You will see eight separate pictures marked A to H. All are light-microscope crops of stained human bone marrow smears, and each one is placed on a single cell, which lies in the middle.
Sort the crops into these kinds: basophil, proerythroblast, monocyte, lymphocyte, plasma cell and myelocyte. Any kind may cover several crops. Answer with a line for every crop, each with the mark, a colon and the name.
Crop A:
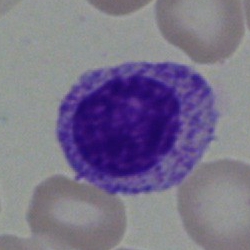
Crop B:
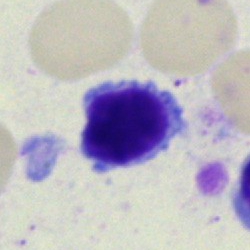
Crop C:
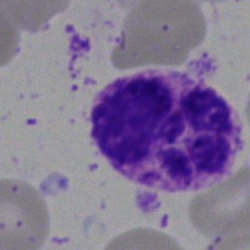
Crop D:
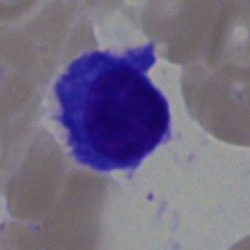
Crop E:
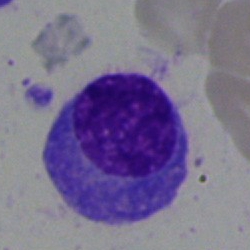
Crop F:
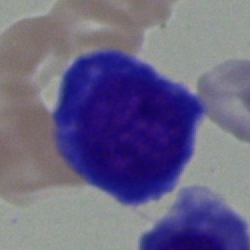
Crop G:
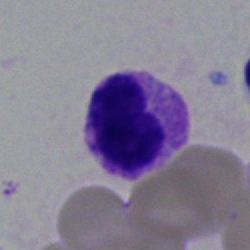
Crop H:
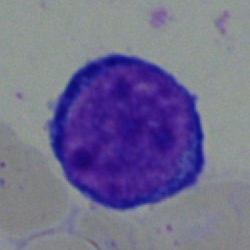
A: myelocyte
B: lymphocyte
C: basophil
D: plasma cell
E: plasma cell
F: proerythroblast
G: basophil
H: proerythroblast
